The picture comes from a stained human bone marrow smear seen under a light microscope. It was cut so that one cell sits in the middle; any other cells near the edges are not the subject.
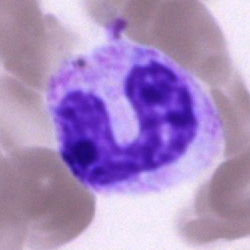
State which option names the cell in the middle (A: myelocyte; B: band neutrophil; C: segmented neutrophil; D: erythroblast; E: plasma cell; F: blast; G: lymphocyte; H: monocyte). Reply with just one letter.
B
